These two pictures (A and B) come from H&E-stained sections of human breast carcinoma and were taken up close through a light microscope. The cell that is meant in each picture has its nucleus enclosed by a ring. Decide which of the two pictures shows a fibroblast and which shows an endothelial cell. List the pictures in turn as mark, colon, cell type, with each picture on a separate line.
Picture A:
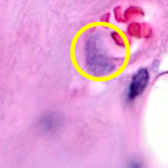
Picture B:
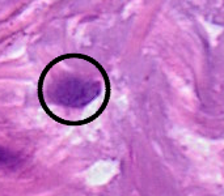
A: endothelial cell
B: fibroblast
